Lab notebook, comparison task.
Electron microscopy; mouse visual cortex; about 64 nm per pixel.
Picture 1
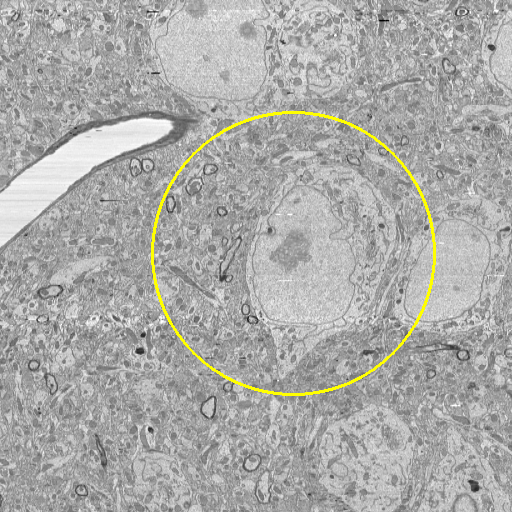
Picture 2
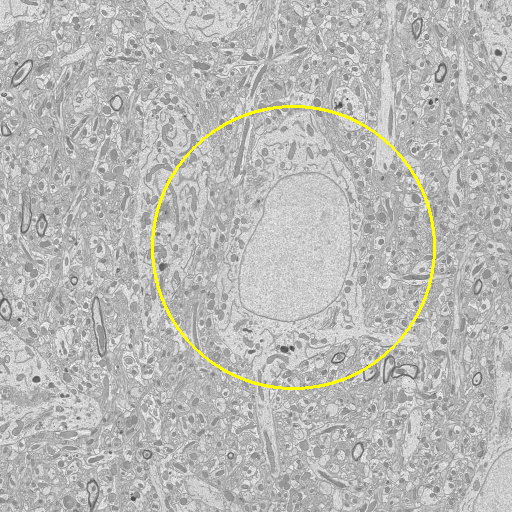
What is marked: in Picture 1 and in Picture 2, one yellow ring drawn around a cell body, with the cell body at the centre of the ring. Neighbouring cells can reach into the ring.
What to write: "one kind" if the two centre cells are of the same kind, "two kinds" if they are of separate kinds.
two kinds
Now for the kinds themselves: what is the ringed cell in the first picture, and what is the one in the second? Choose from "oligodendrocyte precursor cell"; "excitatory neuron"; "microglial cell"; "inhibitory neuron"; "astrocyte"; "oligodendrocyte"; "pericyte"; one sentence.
Here the first cell is an inhibitory neuron and the second cell is an excitatory neuron.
